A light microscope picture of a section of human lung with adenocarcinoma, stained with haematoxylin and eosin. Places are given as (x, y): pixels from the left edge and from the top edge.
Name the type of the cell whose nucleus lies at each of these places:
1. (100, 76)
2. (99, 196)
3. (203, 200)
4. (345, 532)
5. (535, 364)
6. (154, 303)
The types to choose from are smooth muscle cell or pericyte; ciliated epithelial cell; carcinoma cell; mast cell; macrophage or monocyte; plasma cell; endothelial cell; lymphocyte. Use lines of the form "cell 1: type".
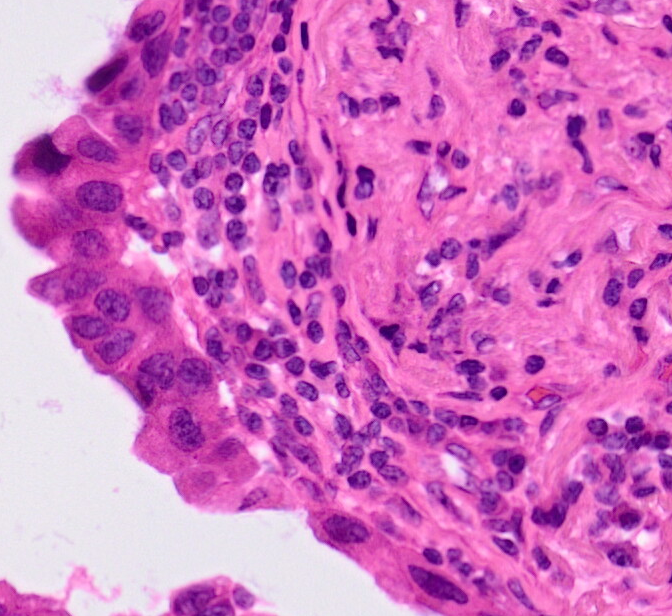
cell 1: carcinoma cell
cell 2: carcinoma cell
cell 3: lymphocyte
cell 4: carcinoma cell
cell 5: lymphocyte
cell 6: carcinoma cell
